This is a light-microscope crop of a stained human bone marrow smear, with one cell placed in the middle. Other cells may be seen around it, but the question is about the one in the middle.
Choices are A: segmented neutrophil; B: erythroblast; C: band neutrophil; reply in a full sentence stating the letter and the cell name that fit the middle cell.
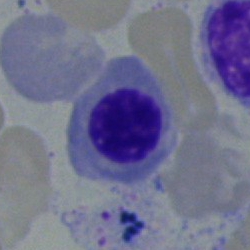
The cell in the center of this crop is an erythroblast, so option B is the one to pick.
